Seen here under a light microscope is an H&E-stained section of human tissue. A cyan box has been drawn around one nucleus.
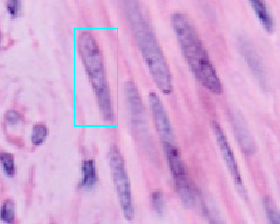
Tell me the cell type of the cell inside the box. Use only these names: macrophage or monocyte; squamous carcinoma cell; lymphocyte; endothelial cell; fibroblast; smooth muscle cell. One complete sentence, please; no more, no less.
As a matter of cell type, the cell inside the box is a smooth muscle cell.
